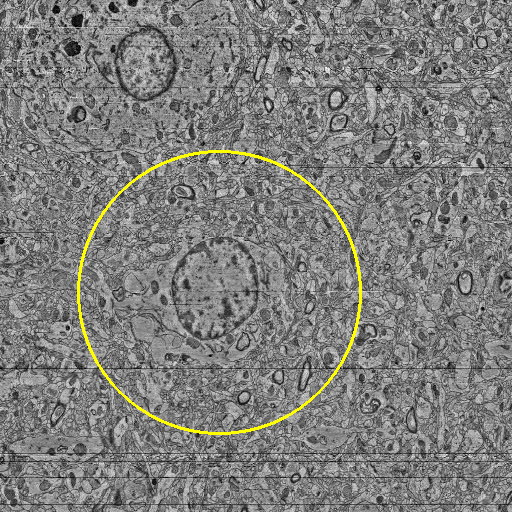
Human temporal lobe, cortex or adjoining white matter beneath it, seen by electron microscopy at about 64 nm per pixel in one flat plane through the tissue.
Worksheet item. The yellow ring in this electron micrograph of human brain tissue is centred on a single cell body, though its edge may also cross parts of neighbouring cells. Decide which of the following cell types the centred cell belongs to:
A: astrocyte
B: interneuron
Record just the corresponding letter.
A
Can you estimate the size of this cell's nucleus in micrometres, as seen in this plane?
About 7 by 6 micrometers, in this plane.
